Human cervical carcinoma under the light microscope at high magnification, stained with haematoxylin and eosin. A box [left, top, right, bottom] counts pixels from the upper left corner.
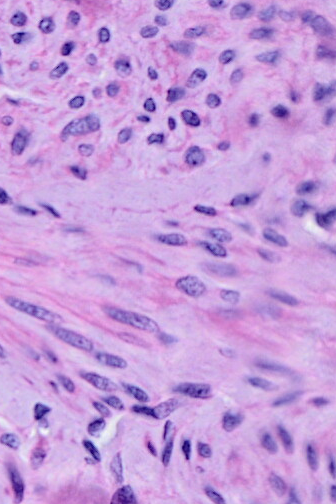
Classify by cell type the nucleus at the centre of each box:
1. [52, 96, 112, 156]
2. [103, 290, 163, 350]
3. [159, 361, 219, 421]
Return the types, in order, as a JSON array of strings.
["smooth muscle cell", "smooth muscle cell", "fibroblast"]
